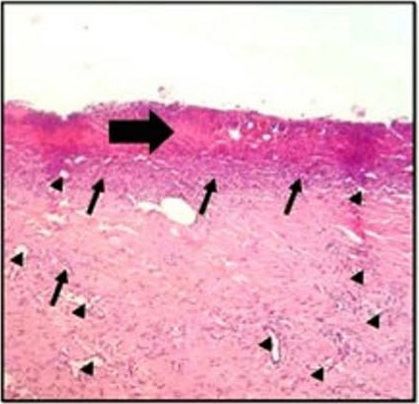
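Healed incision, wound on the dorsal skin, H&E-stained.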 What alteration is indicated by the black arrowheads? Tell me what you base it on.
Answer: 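Neo-vascularization. The arrowheads point to small open lumens scattered in the tissue beneath the surface.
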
